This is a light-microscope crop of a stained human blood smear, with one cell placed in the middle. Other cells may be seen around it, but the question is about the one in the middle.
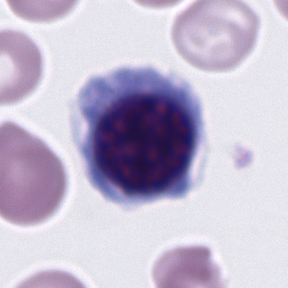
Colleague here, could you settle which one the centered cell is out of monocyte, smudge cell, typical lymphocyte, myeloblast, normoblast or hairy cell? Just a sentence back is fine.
Looking at the middle of the crop, the cell there is a normoblast.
